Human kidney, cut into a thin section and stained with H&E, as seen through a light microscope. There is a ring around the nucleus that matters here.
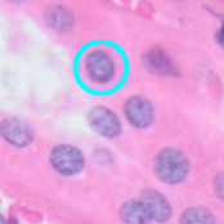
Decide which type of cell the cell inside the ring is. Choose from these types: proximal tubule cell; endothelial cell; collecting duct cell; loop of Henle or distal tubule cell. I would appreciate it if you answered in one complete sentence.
As a matter of cell type, the cell inside the ring is a loop of Henle or distal tubule cell.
